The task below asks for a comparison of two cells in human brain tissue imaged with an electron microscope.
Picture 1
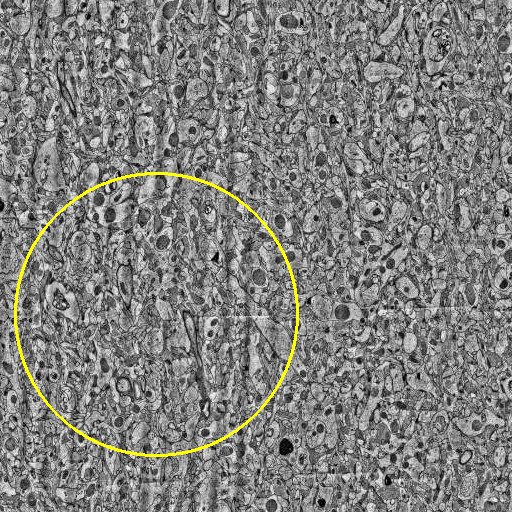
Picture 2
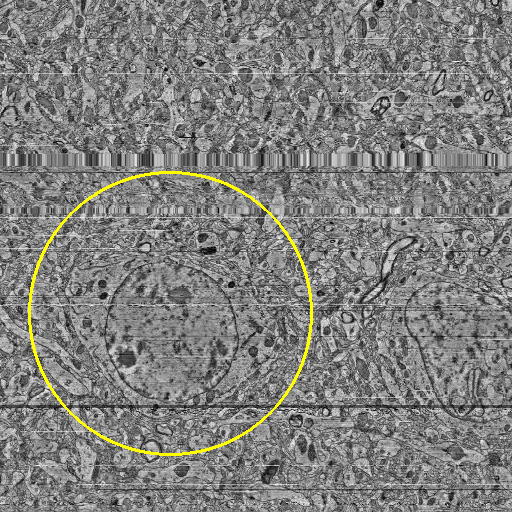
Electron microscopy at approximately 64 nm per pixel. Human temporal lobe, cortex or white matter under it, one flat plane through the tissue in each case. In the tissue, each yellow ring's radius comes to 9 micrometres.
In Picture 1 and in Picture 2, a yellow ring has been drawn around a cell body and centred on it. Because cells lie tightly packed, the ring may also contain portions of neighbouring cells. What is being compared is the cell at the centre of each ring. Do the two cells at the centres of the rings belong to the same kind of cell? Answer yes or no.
no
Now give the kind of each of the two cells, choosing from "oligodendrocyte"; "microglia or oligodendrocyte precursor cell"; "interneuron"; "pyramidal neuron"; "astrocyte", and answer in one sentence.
The cell in the first picture is an astrocyte, and the cell in the second is a pyramidal neuron.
